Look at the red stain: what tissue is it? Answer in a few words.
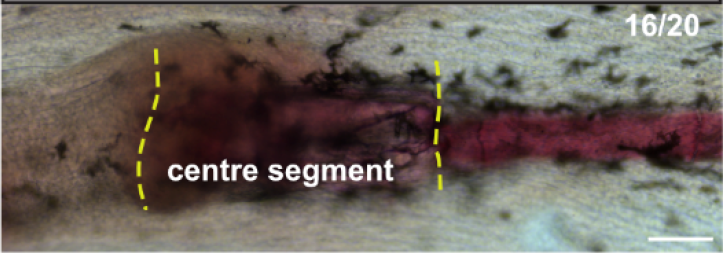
mineralized bone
